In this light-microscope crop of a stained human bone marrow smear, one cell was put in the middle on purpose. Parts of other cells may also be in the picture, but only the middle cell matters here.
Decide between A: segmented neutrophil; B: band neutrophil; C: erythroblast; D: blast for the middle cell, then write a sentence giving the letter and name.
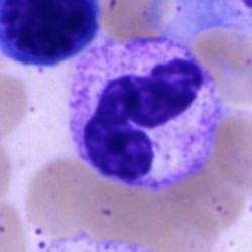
Option A is correct in naming the middle cell a segmented neutrophil.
